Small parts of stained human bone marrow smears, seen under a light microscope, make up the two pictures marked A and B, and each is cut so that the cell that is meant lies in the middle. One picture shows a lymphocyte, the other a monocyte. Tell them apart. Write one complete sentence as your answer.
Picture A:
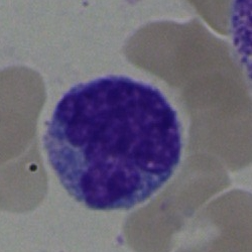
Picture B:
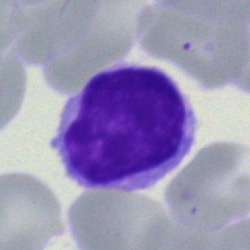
Picture A is of a monocyte, and picture B is of a lymphocyte.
